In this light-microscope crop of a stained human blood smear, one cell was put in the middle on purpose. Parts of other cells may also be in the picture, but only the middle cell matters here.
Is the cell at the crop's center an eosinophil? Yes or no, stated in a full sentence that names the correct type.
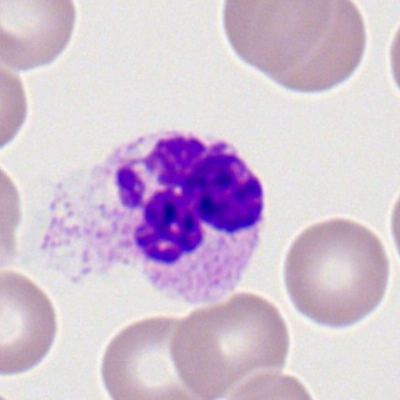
No, instead of an eosinophil, the middle cell is a neutrophil.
